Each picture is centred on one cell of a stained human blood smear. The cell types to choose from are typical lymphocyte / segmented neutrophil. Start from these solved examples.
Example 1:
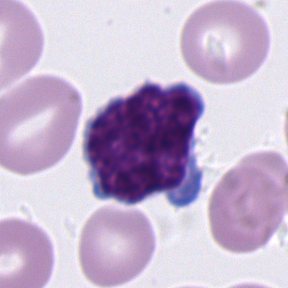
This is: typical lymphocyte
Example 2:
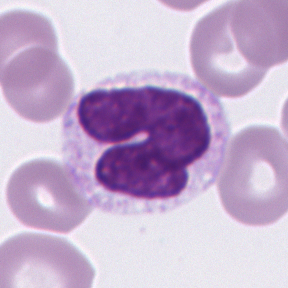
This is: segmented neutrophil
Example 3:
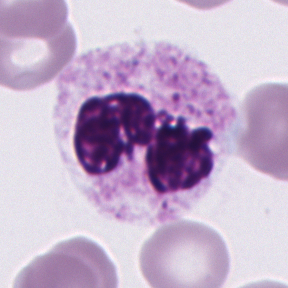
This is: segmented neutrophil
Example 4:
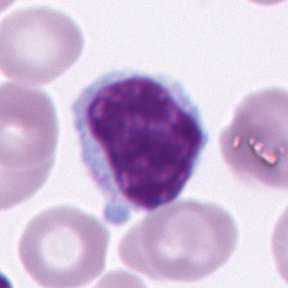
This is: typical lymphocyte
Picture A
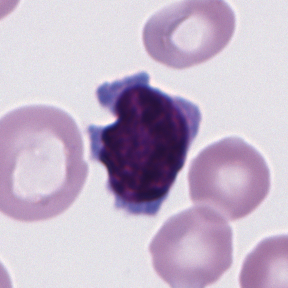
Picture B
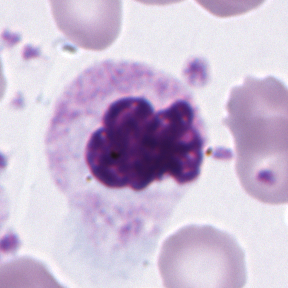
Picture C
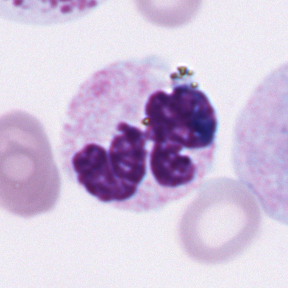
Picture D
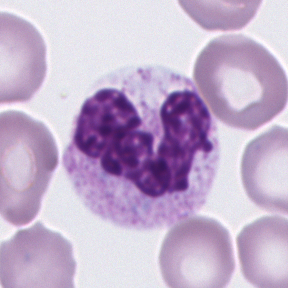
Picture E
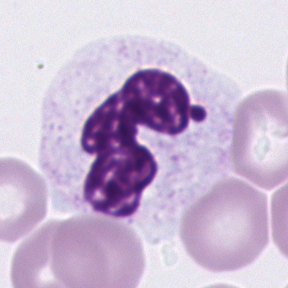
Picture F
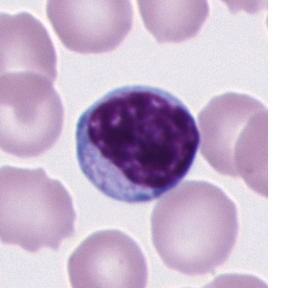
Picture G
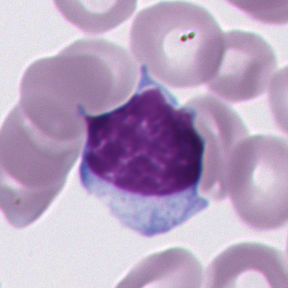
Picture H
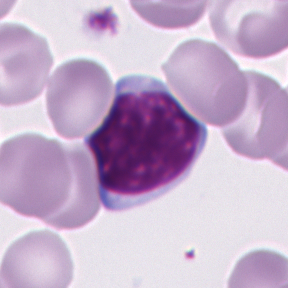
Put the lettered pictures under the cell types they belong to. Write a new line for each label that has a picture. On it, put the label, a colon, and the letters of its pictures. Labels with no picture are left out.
typical lymphocyte: A, F, G, H
segmented neutrophil: B, C, D, E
